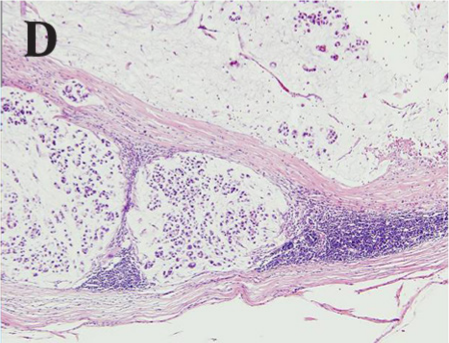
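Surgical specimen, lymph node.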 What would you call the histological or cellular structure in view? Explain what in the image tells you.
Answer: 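Wide pale, wispy, nearly acellular areas fill much of the field. Small clusters of cells with dark nuclei lie within the pale material. Thin pink bands divide the pale areas.
Mucinous lakes.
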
